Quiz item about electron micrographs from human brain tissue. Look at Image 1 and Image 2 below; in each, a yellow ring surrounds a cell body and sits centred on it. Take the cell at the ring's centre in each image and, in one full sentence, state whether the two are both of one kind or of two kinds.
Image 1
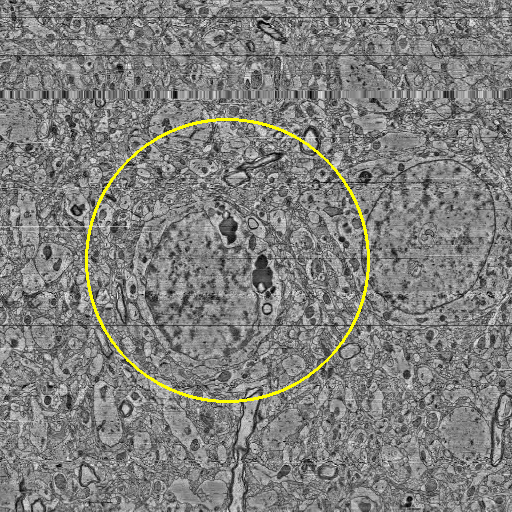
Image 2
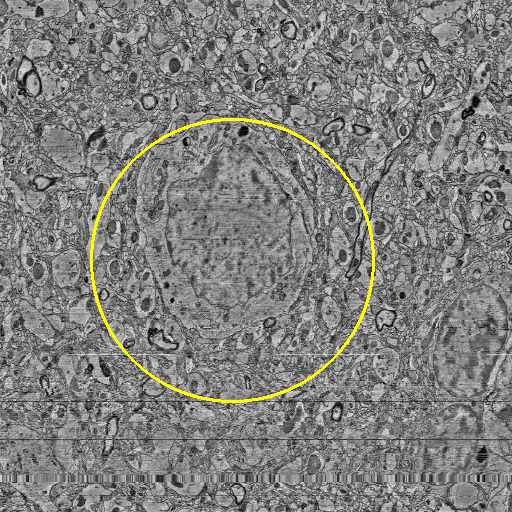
In Image 1 and Image 2, the cells at the ring centres are both of one kind.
